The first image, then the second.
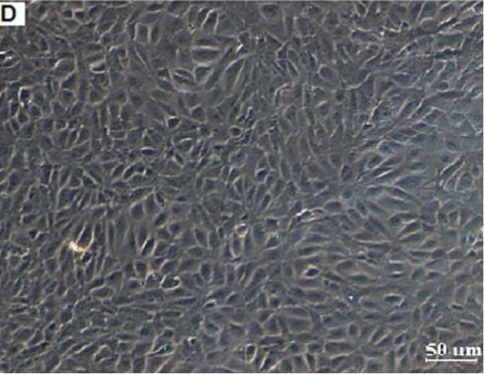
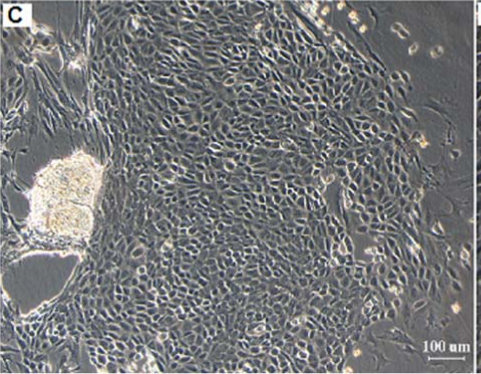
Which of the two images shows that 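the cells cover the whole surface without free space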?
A: the first image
